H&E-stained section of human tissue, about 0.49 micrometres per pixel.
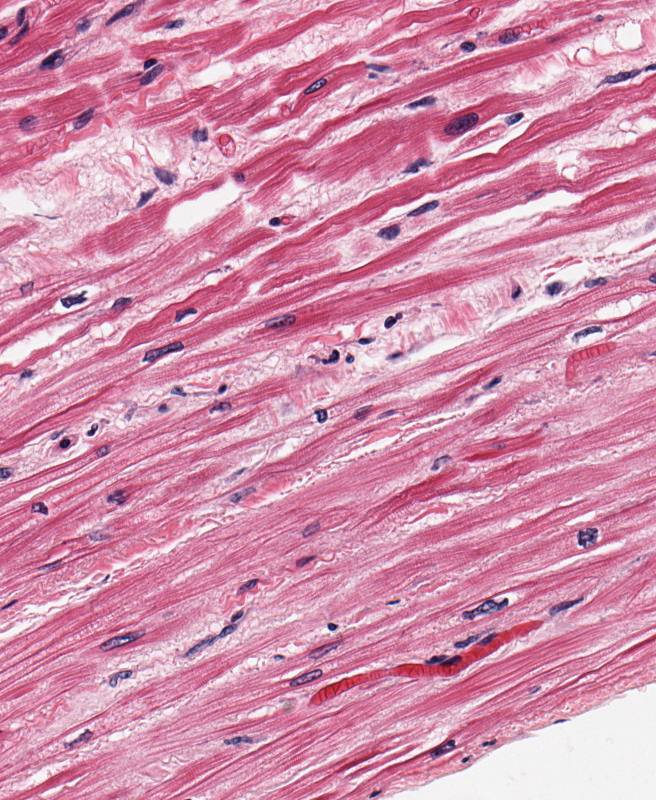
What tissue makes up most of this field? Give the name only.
myocardium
